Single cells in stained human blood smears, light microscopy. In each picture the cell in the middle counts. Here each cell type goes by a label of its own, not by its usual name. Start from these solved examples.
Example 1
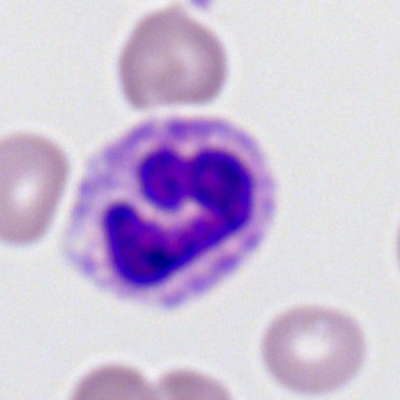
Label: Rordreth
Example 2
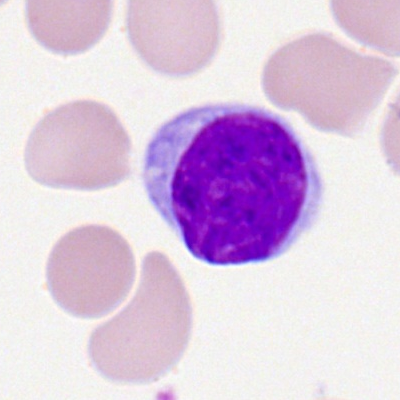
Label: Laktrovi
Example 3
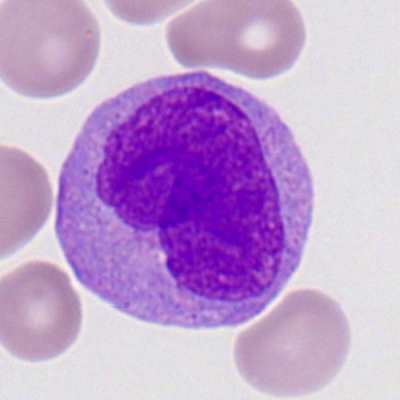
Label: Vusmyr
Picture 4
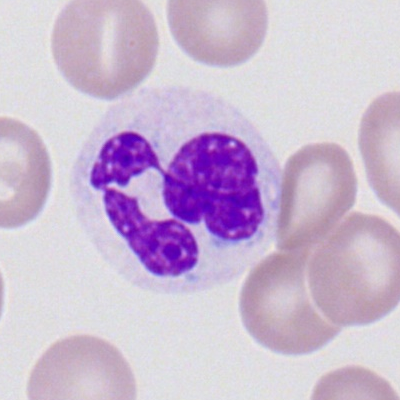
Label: Rordreth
